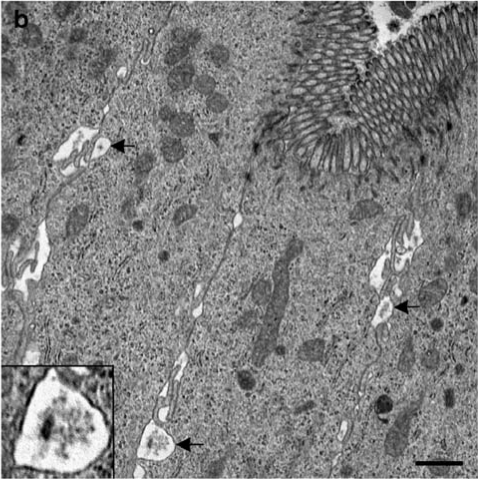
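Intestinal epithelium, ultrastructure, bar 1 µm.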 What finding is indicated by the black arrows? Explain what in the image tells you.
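The arrows point to pale, dilated gaps along the boundaries between neighbouring cells. Elsewhere the adjacent membranes run close together as thin lines. The answer: Widened spaces.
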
